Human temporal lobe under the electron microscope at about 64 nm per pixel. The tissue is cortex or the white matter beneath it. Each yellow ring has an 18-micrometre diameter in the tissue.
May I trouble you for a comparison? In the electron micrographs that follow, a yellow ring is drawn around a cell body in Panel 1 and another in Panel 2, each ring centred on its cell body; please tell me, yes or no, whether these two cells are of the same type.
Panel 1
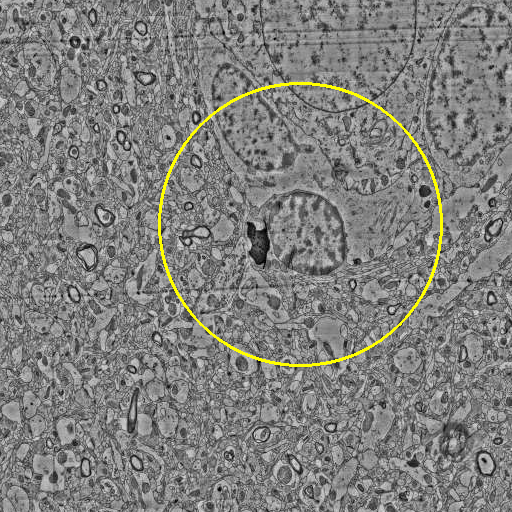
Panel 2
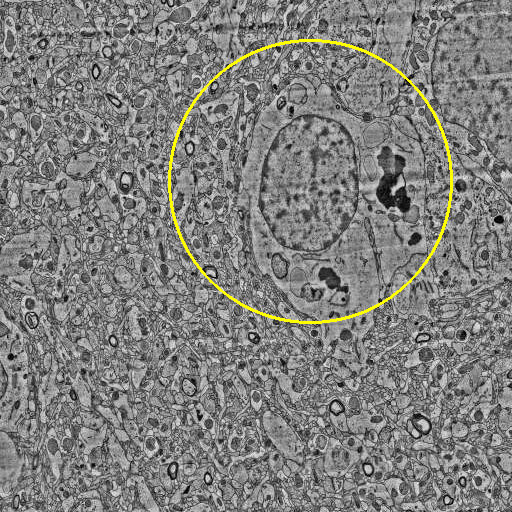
no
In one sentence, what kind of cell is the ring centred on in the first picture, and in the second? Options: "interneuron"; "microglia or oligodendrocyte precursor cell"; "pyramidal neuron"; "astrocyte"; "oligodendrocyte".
The cell at the centre of the second ring is an astrocyte; the first ring's cell is an oligodendrocyte.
